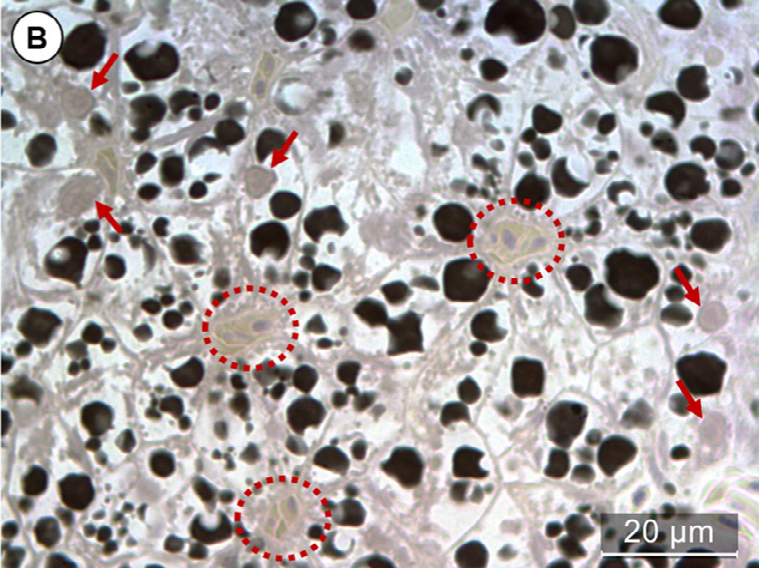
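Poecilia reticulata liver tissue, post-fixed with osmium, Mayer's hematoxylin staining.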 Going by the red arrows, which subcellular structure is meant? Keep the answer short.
Nuclei.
